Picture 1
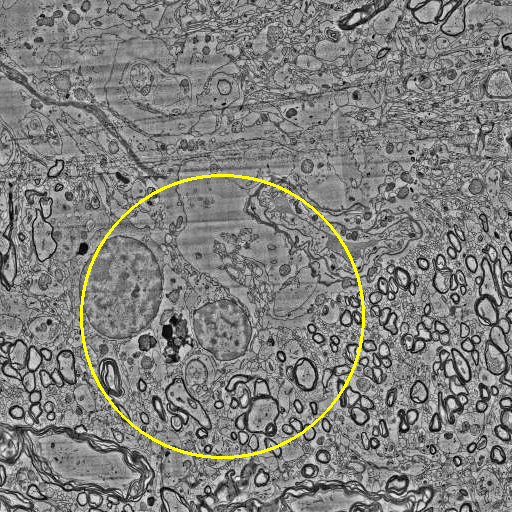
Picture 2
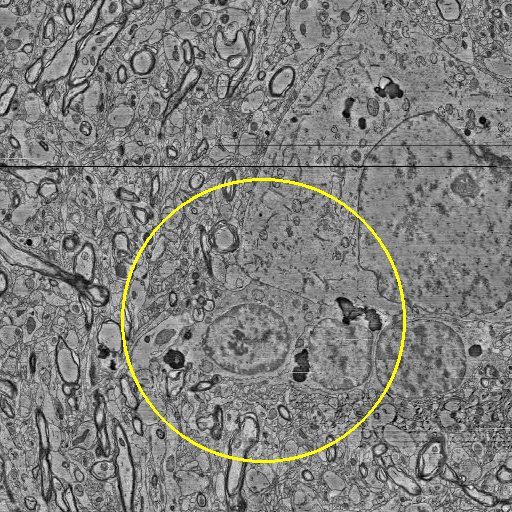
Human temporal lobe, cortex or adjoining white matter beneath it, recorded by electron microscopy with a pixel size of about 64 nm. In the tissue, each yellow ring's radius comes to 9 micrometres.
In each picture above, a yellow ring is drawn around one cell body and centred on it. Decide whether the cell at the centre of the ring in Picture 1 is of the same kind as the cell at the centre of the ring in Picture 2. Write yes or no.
no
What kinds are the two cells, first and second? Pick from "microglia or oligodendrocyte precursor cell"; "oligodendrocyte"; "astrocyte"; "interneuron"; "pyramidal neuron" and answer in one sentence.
The second picture holds an oligodendrocyte in its ring, and the first holds a microglial cell or oligodendrocyte precursor cell.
